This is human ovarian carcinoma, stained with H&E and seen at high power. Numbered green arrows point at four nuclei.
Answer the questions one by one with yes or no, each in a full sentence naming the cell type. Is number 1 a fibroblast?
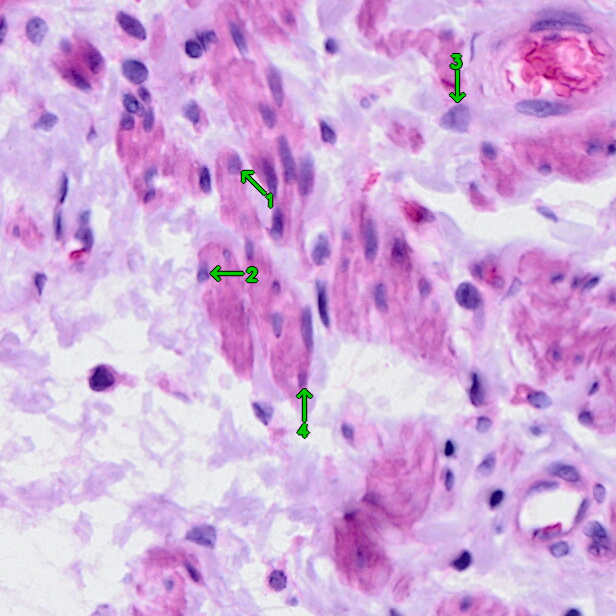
No, not a fibroblast: the cell with number 1 is a smooth muscle cell.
